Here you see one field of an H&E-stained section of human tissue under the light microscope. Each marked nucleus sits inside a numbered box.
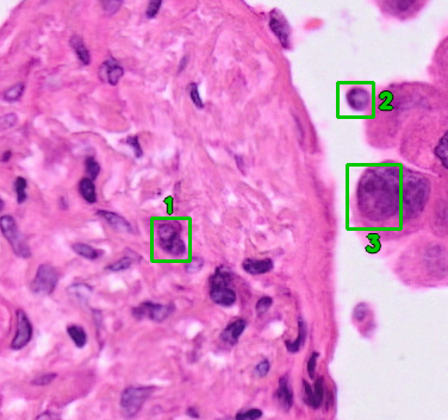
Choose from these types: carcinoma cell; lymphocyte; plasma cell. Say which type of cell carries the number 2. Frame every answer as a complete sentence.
The correct answer for cell 2 is a lymphocyte.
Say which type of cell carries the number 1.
Marked with the number 1, this cell is a plasma cell.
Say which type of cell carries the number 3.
At number 3, the marked cell is a carcinoma cell.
